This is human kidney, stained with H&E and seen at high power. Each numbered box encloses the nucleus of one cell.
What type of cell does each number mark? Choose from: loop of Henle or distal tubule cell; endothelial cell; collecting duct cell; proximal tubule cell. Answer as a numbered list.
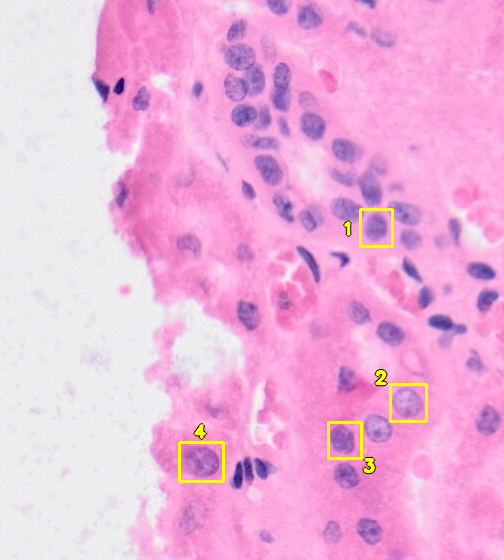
1. collecting duct cell
2. proximal tubule cell
3. proximal tubule cell
4. proximal tubule cell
